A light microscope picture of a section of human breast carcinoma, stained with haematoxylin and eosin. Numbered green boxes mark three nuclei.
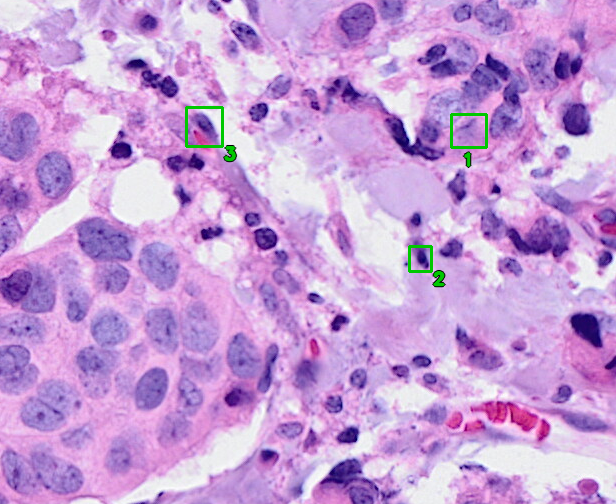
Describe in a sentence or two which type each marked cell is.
Cell 1 is a carcinoma cell. Cell 2 is a lymphocyte. Cell 3 is an endothelial cell.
